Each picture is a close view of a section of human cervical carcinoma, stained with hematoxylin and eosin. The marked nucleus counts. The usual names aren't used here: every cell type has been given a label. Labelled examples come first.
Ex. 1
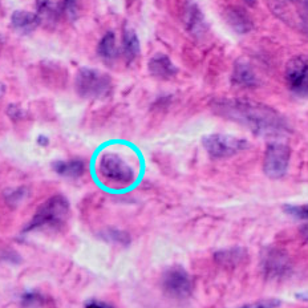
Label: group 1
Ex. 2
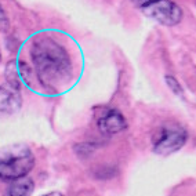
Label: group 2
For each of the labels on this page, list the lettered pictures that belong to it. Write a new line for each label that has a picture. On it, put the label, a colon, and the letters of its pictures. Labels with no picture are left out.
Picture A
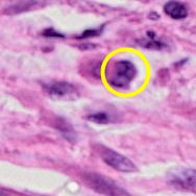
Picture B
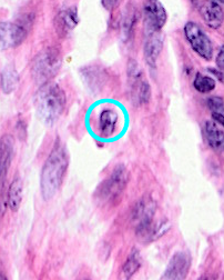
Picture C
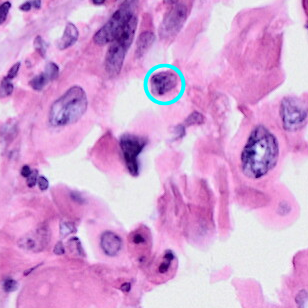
group 1: A, B, C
